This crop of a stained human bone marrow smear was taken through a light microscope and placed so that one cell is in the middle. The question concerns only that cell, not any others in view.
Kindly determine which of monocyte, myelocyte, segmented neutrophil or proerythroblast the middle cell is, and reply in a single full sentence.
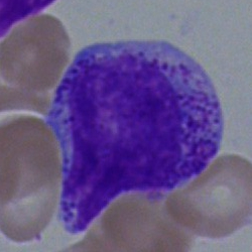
The crop's centre is taken up by a myelocyte.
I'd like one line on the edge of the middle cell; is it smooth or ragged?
A smooth outline is absent here, replaced by ragged stretches or projections.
